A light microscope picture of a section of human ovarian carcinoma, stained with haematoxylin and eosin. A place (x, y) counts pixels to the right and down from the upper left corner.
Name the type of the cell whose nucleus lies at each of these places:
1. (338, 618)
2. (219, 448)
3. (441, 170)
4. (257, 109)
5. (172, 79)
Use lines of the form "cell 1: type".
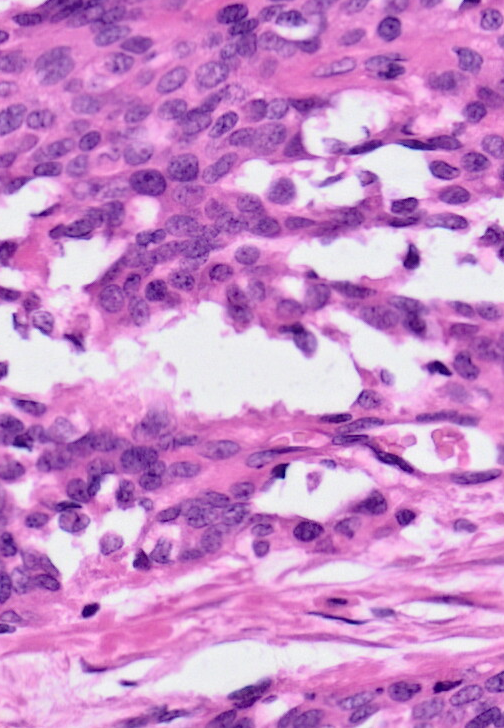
cell 1: fibroblast
cell 2: endothelial cell
cell 3: macrophage or monocyte
cell 4: carcinoma cell
cell 5: carcinoma cell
